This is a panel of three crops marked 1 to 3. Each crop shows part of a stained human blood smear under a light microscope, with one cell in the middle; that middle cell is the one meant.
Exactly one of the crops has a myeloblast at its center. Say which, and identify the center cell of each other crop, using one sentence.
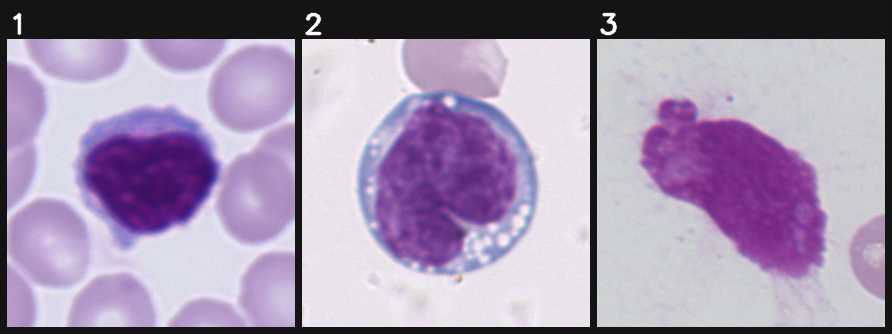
In crop 2 the cell shown is a myeloblast, and crop 1 is a typical lymphocyte and crop 3 is a smudge cell.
